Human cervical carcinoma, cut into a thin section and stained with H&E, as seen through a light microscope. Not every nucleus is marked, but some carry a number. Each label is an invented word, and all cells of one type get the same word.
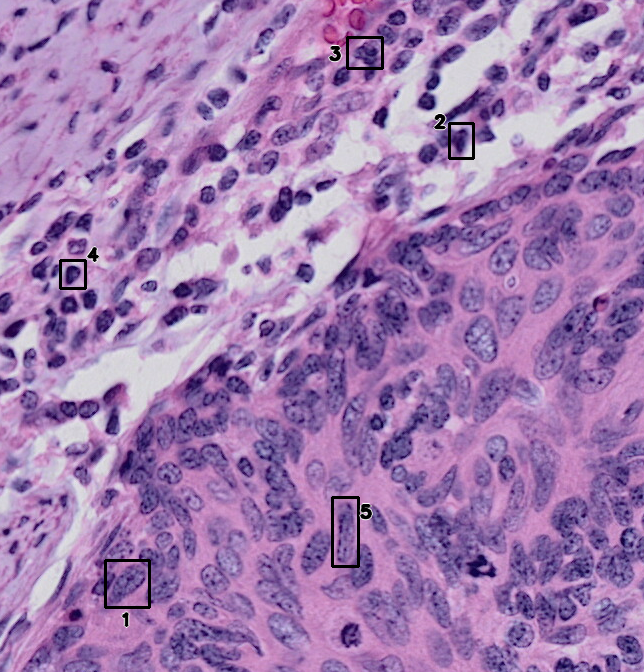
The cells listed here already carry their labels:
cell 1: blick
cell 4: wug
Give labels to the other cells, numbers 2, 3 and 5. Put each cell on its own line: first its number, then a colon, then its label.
2: wug
3: wug
5: blick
